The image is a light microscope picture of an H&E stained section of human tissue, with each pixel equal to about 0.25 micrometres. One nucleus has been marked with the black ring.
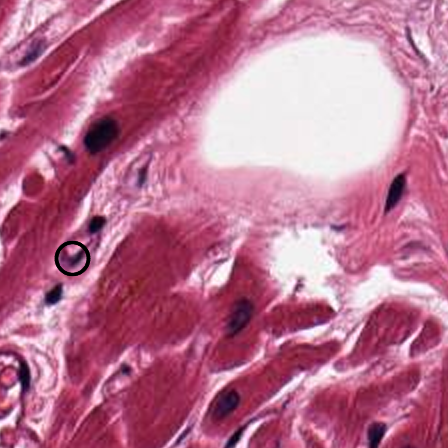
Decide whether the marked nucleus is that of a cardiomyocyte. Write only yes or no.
no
